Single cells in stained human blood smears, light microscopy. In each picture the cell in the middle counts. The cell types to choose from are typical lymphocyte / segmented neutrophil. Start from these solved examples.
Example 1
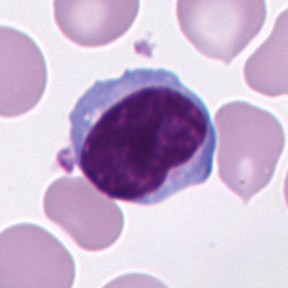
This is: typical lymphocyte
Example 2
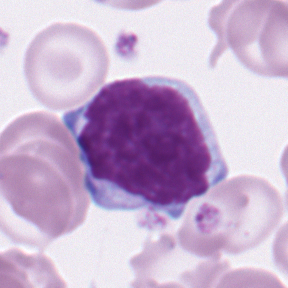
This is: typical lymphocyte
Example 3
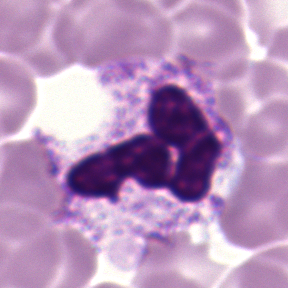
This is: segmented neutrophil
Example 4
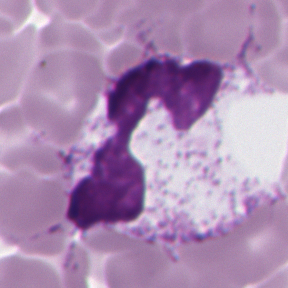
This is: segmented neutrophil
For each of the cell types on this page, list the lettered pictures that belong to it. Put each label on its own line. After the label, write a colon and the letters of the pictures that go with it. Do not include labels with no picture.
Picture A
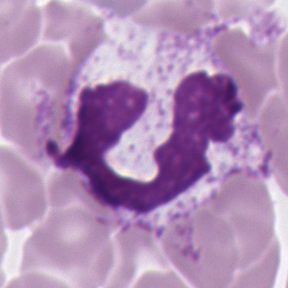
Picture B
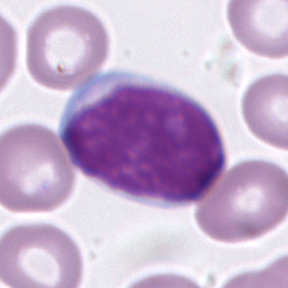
typical lymphocyte: B
segmented neutrophil: A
